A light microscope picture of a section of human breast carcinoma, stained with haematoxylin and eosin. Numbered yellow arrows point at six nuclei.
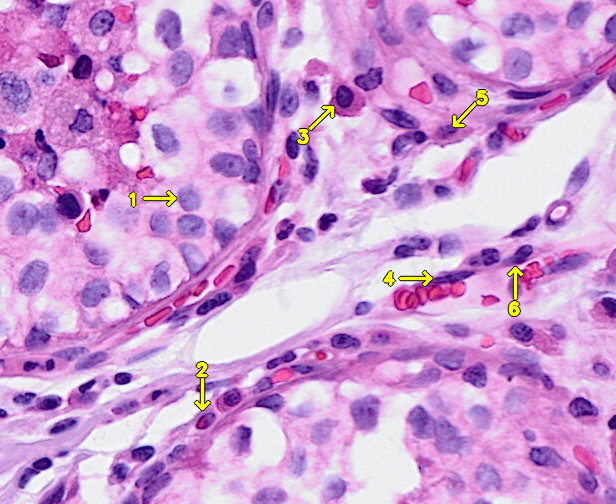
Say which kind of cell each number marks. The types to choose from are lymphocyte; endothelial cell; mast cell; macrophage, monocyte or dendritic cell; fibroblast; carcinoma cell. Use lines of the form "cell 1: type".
cell 1: carcinoma cell
cell 2: endothelial cell
cell 3: mast cell
cell 4: endothelial cell
cell 5: mast cell
cell 6: endothelial cell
